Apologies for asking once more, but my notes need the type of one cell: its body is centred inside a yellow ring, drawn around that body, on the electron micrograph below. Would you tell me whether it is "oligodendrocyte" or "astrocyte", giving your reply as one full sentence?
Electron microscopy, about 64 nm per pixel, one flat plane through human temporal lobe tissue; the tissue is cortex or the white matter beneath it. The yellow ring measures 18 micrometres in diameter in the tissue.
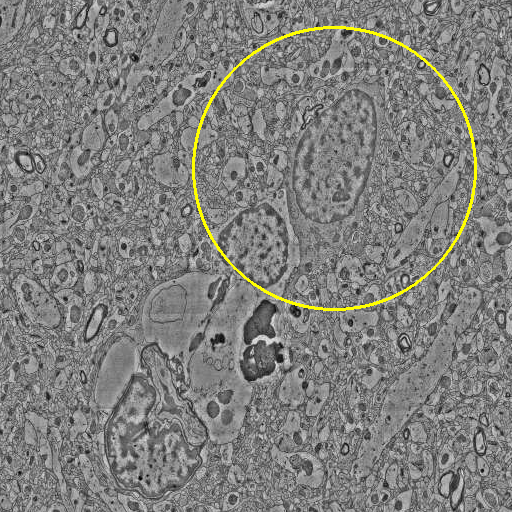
The cell that the yellow ring is centred on is an oligodendrocyte in this micrograph.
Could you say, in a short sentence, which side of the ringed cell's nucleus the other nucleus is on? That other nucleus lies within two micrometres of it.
The other nucleus is located to the lower left of it.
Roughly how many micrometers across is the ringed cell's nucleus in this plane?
Roughly 9 micrometres by 5 micrometres, so the nucleus is clearly longer than it is wide in this plane.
